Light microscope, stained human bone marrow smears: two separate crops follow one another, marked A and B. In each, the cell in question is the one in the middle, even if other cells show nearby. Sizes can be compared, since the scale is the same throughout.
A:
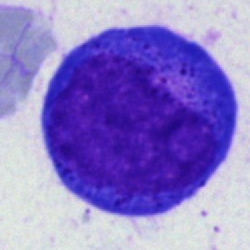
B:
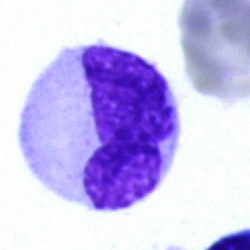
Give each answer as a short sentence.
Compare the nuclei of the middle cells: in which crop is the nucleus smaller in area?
Crop B shows the smaller nucleus, since that in crop A covers about 1.5 times as much area.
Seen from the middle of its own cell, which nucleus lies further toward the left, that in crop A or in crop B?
The nucleus in crop A lies further toward the left of its cell.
